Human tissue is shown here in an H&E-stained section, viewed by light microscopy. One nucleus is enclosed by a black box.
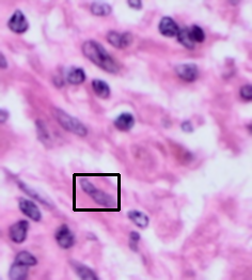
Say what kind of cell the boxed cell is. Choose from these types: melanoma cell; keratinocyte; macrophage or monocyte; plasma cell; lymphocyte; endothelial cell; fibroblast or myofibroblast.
macrophage or monocyte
